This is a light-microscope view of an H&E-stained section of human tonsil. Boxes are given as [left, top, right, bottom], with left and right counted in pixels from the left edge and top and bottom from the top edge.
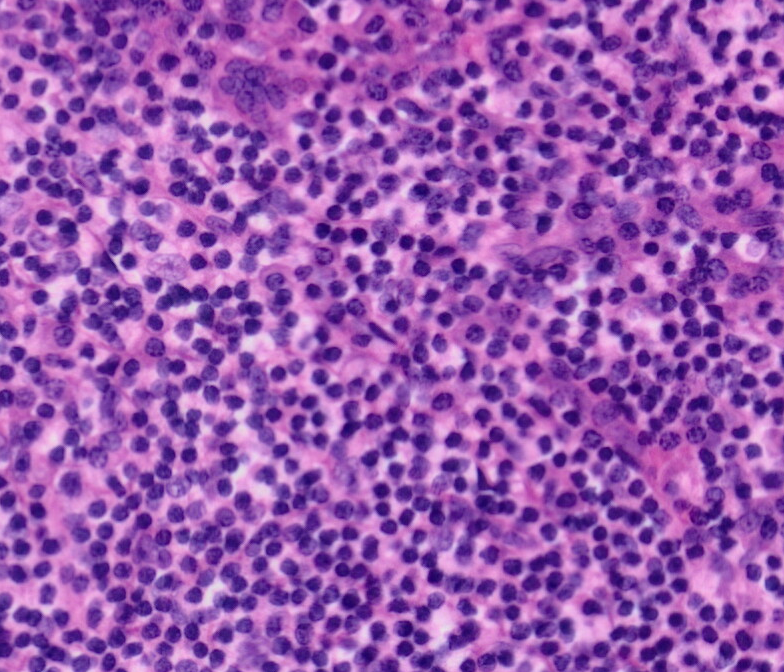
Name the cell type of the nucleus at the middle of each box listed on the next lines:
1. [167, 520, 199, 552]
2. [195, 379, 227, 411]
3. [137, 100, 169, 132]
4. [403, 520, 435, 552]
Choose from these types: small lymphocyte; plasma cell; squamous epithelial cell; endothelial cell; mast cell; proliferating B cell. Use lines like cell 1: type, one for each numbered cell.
cell 1: small lymphocyte
cell 2: small lymphocyte
cell 3: proliferating B cell
cell 4: small lymphocyte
